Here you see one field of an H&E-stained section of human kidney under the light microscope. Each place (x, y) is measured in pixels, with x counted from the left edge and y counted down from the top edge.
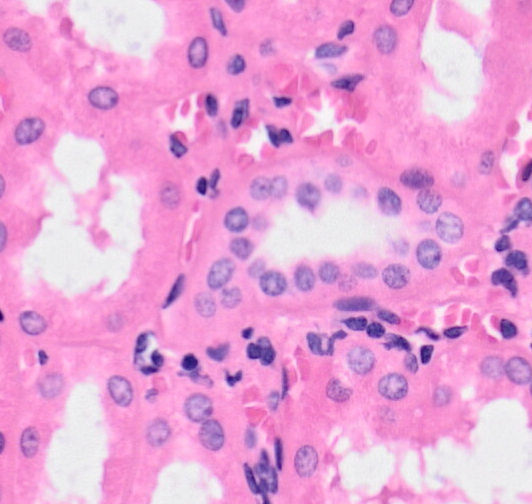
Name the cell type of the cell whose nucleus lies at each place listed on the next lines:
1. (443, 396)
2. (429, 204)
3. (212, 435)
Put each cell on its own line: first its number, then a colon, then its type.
1: proximal tubule cell
2: collecting duct cell
3: proximal tubule cell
